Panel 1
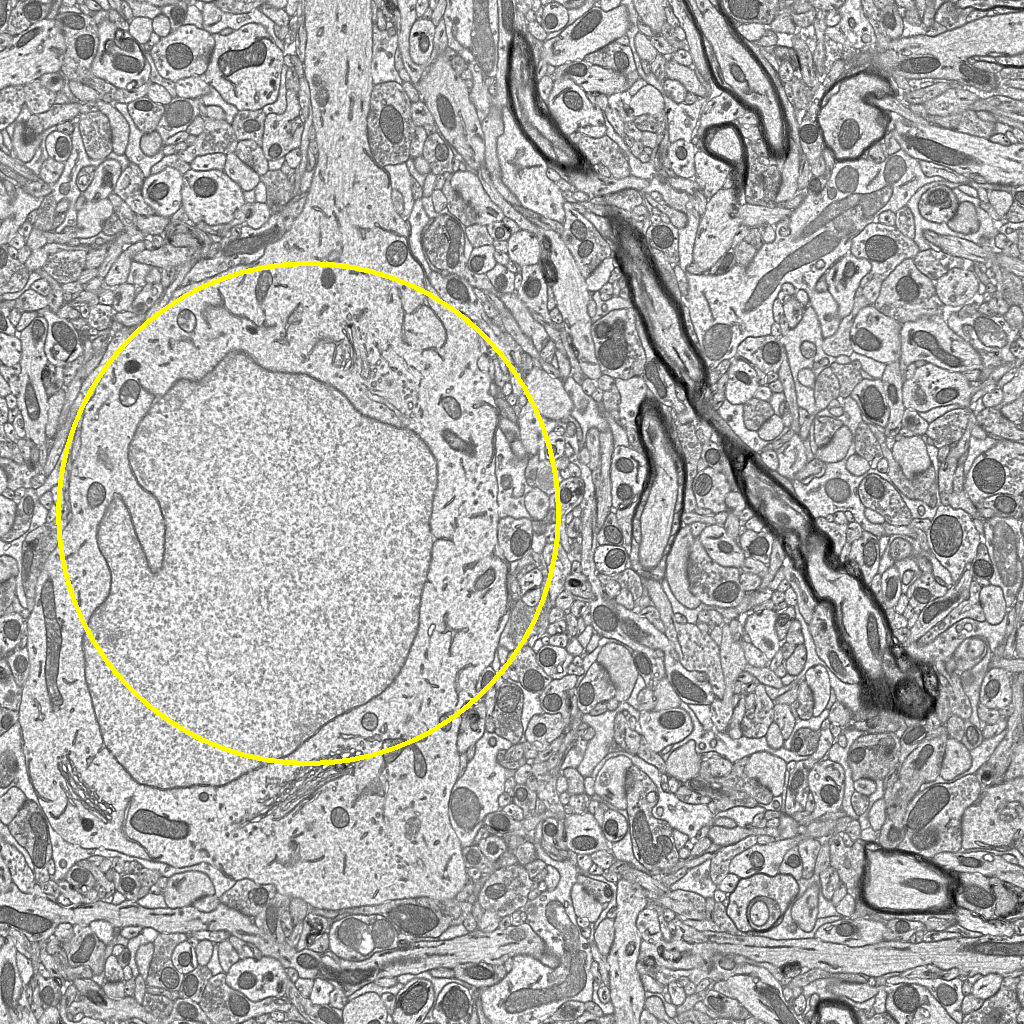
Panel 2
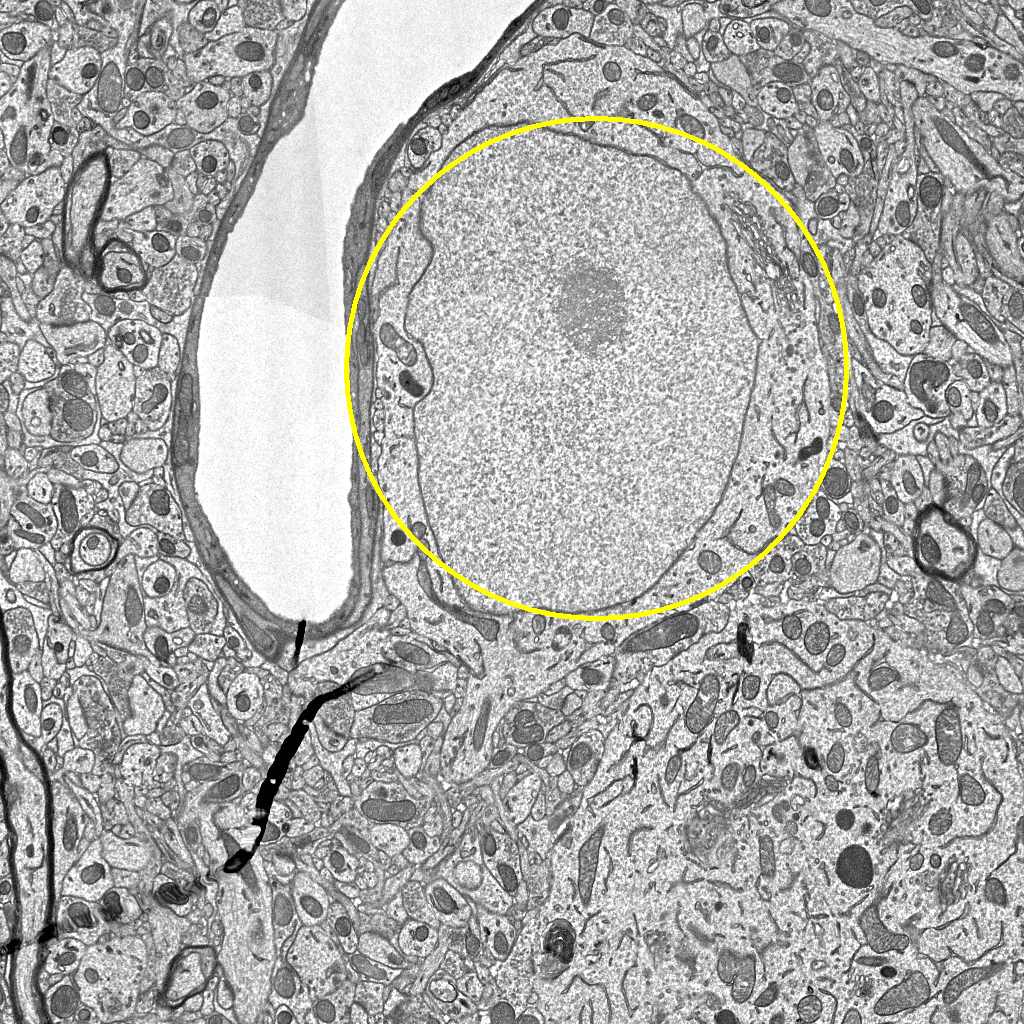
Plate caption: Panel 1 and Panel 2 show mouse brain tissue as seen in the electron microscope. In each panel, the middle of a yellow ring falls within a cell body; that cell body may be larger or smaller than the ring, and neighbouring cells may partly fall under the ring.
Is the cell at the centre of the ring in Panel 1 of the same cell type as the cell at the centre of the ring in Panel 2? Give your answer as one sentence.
Yes, the two cells are of the same type.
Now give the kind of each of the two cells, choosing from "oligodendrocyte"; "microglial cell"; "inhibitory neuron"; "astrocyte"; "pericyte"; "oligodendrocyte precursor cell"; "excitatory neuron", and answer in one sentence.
The cell in the first picture is an excitatory neuron, and so is the one in the second.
